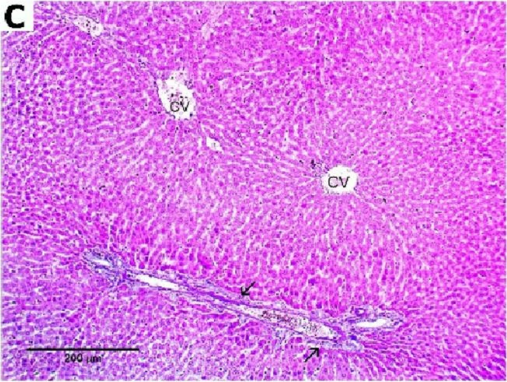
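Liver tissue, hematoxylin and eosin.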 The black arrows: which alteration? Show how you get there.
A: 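A long vessel-containing tract crosses the lower part of the field. Bluish-purple fibrous tissue surrounds the tract and spreads along it. The answer: portal fibrosis.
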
